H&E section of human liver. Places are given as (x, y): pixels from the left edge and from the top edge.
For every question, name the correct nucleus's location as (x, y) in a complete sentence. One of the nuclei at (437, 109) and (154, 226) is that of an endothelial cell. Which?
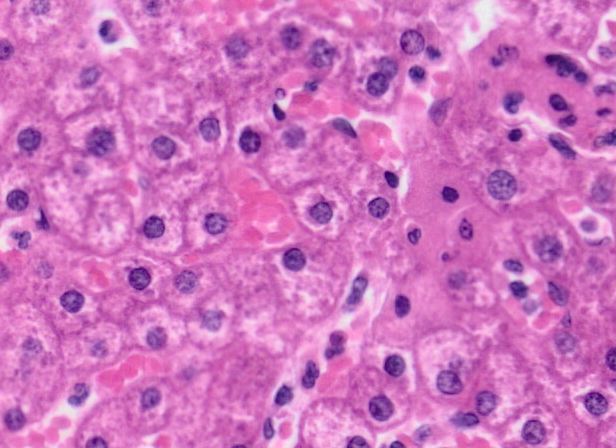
Identify the nucleus at (437, 109) as the one belonging to an endothelial cell.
